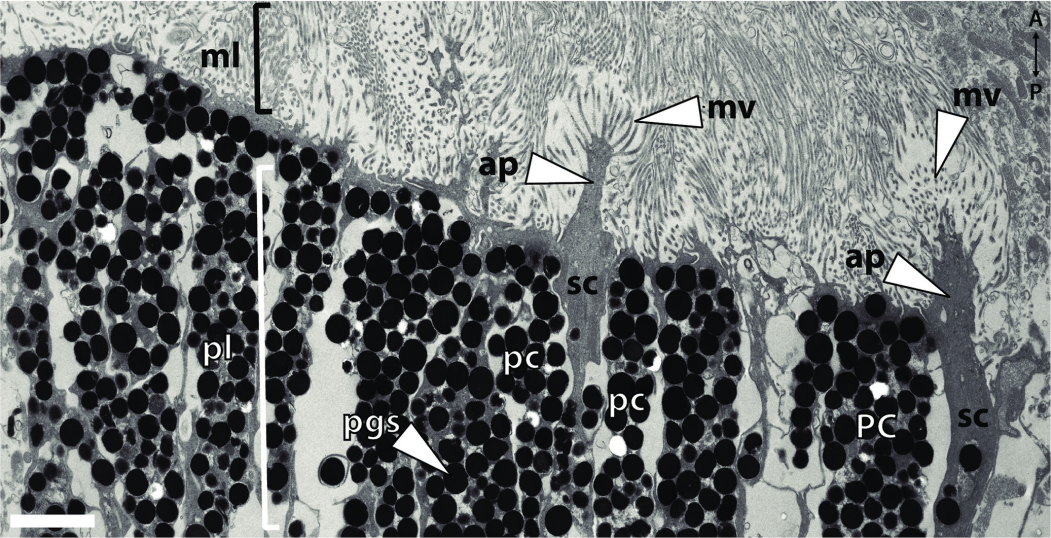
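Here a band of tall, column-like cells packed with round, very dark granules lies beneath a pale layer made of countless fine, thread-like profiles cut lengthwise and across. These columns are pigment cells of the retina's pigment layer, and the dense round bodies filling them are pigment granules. Between the pigment columns run slender, granule-free cells with a greyer cytoplasm, the photoreceptor sensory cells. Each sensory cell narrows into an apical projection that reaches up past the pigment layer into the pale layer above. From the tip of that projection fine microvilli fan out, and the pale layer as a whole is the microvillar layer formed by such microvilli.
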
